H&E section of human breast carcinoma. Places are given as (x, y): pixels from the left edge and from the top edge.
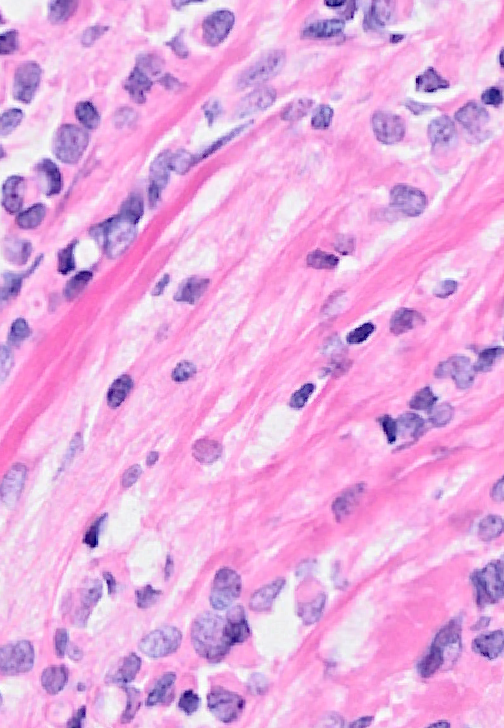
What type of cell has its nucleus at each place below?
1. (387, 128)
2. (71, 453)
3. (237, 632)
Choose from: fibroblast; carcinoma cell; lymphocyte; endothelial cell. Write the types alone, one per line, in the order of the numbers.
carcinoma cell
fibroblast
carcinoma cell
